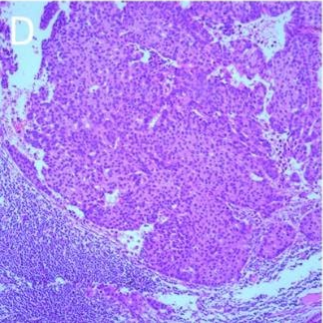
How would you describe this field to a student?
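A lymph node containing a large nest of tumor cells. The nest consists of closely packed pale cells with pink cytoplasm and round nuclei, with small clefts and spaces at its edges. At the lower left lies densely packed lymphoid tissue of small cells with dark round nuclei and scant cytoplasm, clearly distinct from the paler tumor nest.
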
